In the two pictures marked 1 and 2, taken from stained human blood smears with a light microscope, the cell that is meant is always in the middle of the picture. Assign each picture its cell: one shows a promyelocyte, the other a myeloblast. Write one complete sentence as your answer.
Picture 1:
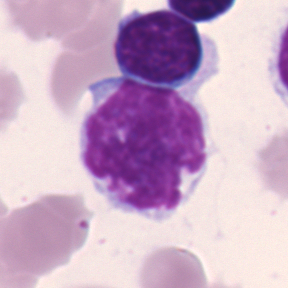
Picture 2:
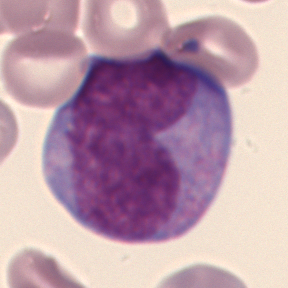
It is picture 1 that shows a myeloblast, and picture 2 that shows a promyelocyte.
